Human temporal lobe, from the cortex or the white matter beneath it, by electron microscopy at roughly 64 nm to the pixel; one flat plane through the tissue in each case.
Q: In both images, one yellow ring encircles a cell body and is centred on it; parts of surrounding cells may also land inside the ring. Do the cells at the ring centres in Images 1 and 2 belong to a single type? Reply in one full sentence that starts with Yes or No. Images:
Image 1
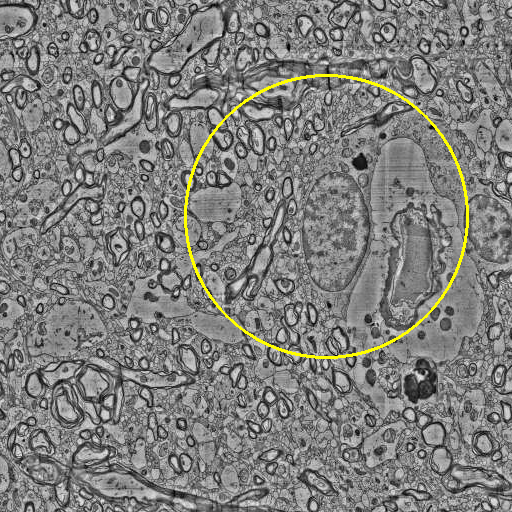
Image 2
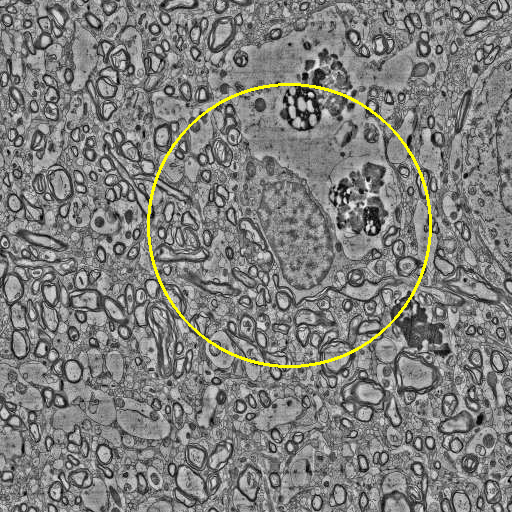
Yes, the cells at the ring centres in Images 1 and 2 are of a single type.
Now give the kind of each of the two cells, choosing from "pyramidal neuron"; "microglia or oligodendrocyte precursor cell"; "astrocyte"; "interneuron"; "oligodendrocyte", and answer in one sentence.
Each of the two pictures has an oligodendrocyte at the ring centre.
